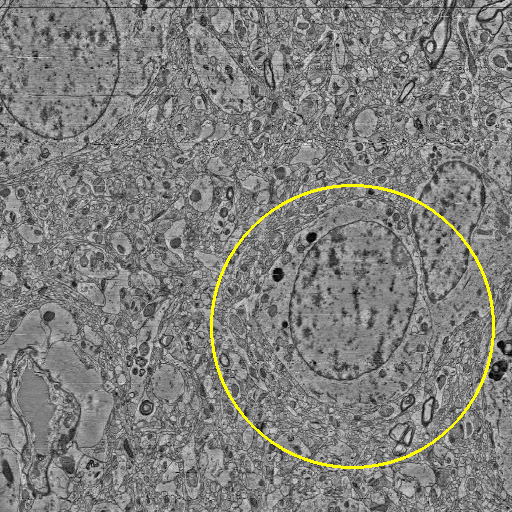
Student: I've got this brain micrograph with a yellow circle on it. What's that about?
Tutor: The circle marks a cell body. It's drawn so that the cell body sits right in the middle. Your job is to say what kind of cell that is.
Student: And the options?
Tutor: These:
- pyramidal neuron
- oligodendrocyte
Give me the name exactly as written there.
pyramidal neuron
